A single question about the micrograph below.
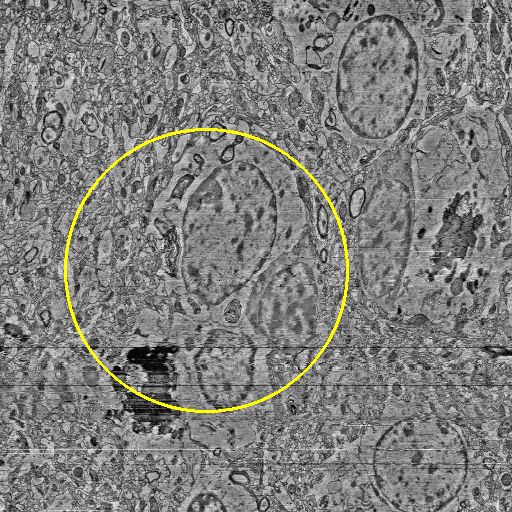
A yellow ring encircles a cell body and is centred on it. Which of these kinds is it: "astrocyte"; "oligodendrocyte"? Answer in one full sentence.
The cell body at the centre of the yellow ring belongs to an astrocyte.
